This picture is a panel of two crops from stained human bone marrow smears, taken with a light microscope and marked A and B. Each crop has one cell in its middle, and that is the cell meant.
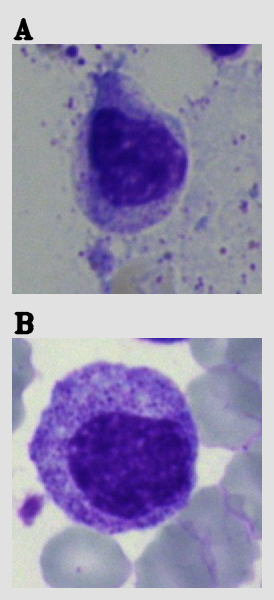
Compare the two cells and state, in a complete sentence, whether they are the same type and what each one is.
Yes, myelocytes occupy the centre of both crops.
